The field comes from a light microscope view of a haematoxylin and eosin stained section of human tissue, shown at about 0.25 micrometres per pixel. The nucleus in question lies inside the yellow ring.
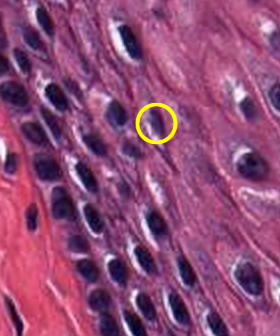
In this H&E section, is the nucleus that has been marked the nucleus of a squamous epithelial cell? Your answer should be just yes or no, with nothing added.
yes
